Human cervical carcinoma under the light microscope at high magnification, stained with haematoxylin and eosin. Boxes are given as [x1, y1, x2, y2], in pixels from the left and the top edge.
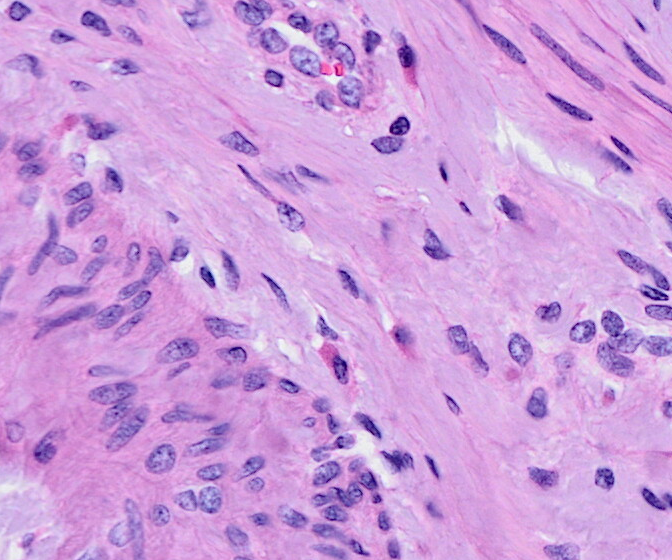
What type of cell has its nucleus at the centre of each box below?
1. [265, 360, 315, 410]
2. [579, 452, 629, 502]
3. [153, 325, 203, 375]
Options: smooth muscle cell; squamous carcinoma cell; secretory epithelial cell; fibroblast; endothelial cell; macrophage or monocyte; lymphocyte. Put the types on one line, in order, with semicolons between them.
smooth muscle cell; fibroblast; smooth muscle cell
